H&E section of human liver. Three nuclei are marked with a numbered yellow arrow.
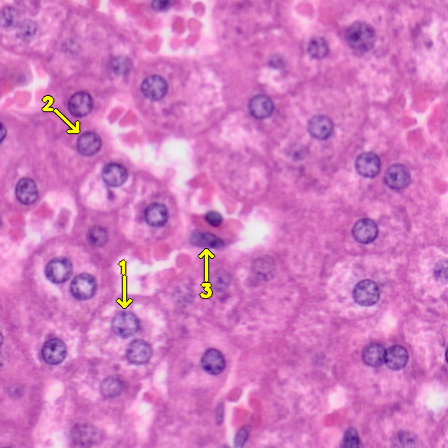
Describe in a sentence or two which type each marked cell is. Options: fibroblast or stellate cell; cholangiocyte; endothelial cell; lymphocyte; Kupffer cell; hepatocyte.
Cells 1 and 2 are hepatocytes. Cell 3 is a Kupffer cell.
